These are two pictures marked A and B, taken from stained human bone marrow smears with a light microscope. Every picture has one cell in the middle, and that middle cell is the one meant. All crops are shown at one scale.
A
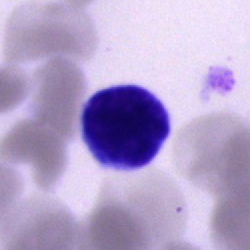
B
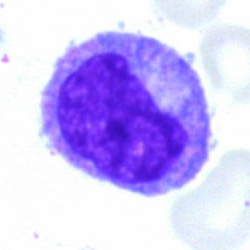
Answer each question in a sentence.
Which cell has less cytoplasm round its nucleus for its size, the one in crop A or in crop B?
The nucleus fills more of the cell in crop A than in crop B.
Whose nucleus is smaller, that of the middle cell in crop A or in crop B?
Smaller is the nucleus in crop A, and the other is about 2.5 times as large in area.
